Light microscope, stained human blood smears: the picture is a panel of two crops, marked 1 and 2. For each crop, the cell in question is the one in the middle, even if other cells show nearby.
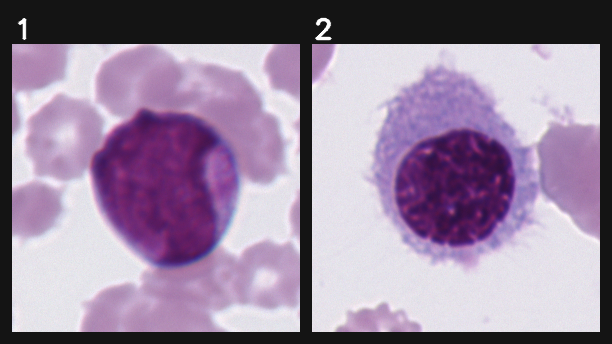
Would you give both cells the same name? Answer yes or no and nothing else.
no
